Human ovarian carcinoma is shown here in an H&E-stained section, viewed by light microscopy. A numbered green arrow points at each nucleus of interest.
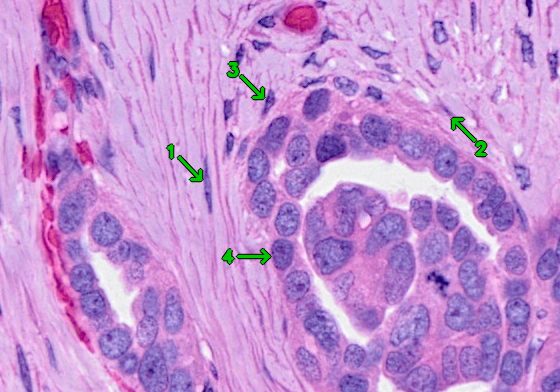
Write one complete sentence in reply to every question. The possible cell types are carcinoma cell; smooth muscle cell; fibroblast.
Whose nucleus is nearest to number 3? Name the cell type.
Closest to number 3 lies the nucleus of a carcinoma cell.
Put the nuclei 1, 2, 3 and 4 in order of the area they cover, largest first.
From largest to smallest, the order is 4, 1, 3, 2.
